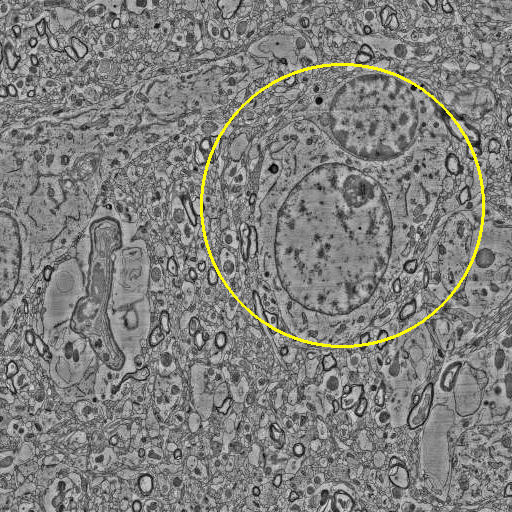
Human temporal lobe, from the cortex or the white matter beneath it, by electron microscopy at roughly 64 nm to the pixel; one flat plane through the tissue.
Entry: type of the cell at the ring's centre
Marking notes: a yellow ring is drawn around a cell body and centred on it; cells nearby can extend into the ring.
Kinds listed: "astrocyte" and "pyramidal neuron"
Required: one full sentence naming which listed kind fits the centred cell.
My entry names a pyramidal neuron as the cell whose body the yellow ring centres on.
